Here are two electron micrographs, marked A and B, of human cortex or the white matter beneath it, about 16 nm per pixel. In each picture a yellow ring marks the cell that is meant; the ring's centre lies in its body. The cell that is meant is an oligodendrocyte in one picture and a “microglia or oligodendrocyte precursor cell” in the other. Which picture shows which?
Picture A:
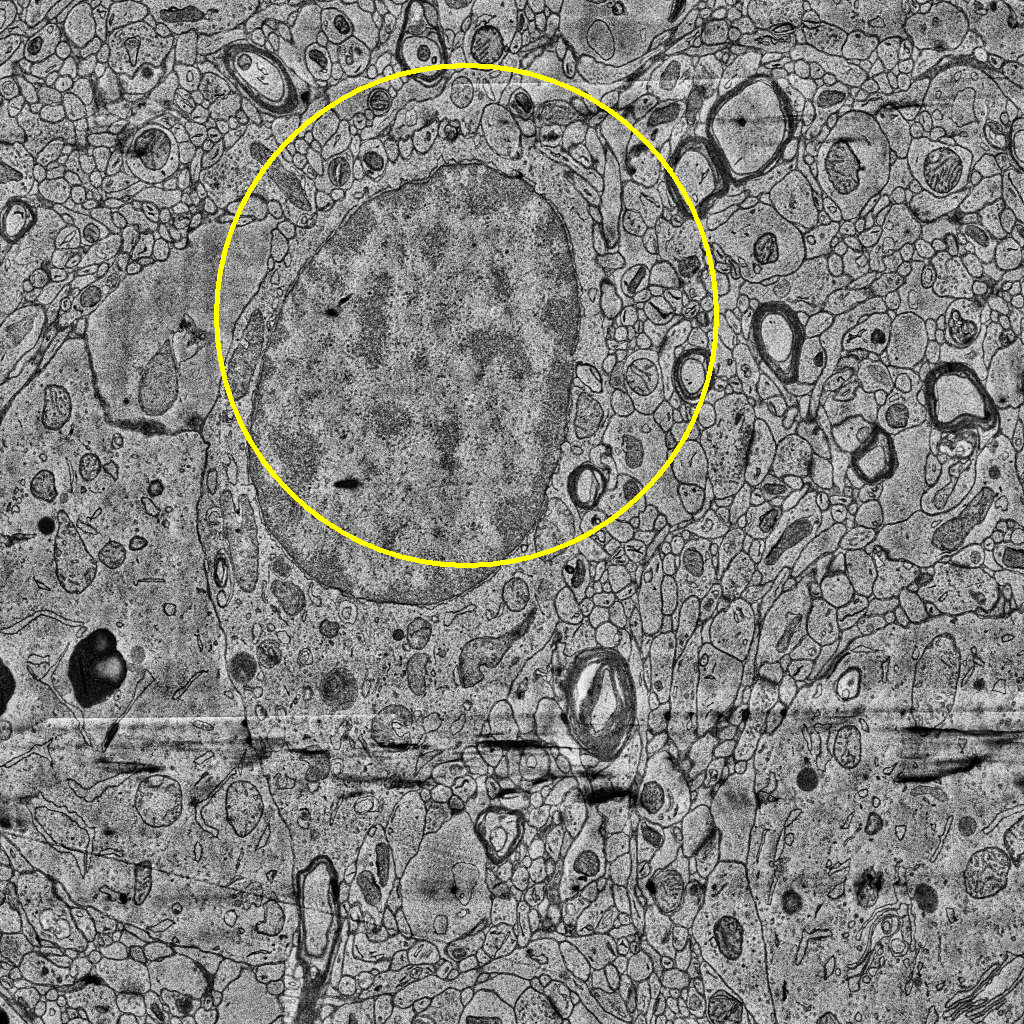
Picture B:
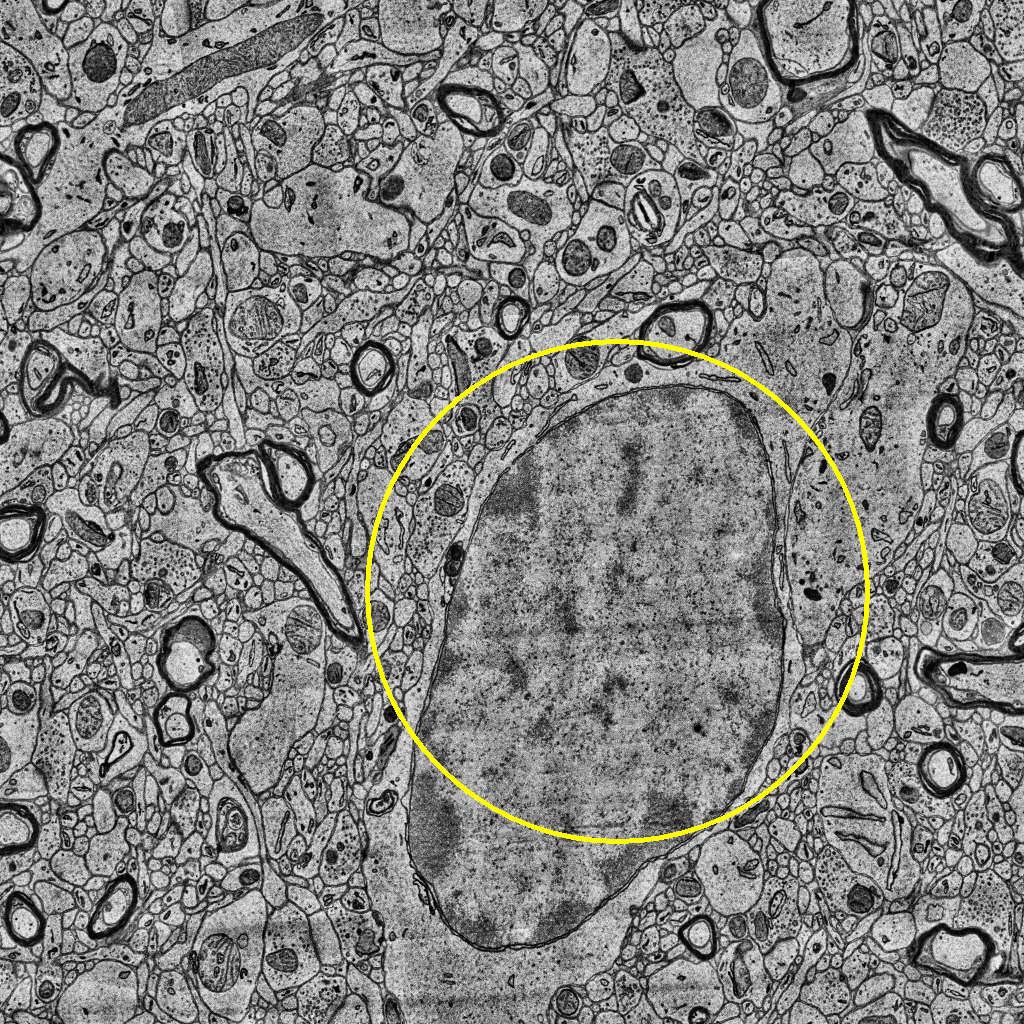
The cell in picture A is an oligodendrocyte, and the one in picture B is a “microglia or oligodendrocyte precursor cell”.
